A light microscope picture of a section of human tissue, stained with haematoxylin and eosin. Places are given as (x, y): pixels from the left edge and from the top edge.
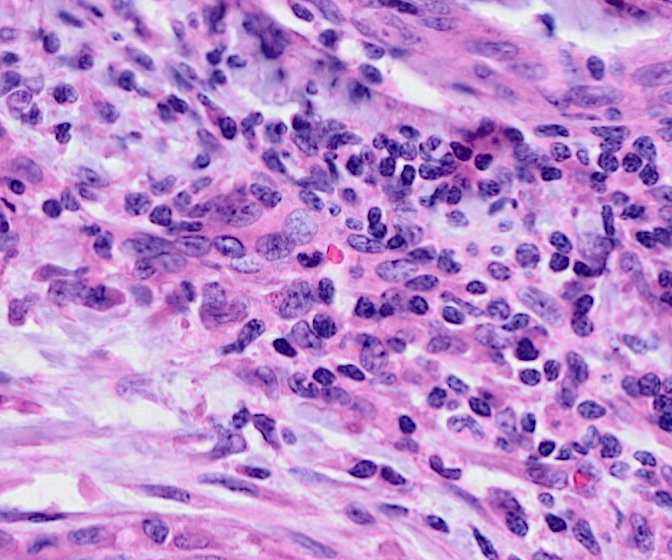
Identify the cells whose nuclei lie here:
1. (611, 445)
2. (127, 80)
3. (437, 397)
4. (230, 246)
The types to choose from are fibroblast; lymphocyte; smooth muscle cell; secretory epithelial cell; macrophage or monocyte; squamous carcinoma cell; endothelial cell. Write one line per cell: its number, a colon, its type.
1: lymphocyte
2: lymphocyte
3: lymphocyte
4: endothelial cell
